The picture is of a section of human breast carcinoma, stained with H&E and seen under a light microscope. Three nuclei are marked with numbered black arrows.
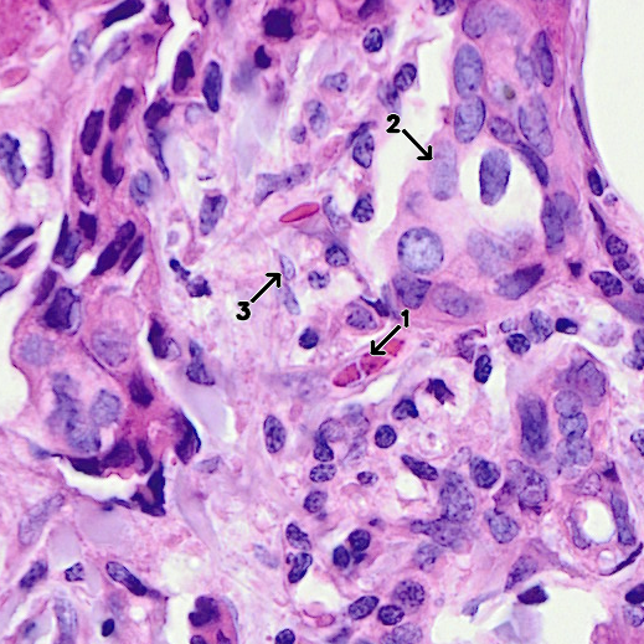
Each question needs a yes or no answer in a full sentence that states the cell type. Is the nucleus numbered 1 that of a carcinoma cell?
No, cell 1 is not a carcinoma cell, but is instead an endothelial cell.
